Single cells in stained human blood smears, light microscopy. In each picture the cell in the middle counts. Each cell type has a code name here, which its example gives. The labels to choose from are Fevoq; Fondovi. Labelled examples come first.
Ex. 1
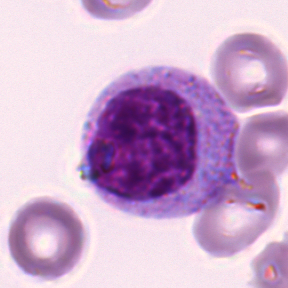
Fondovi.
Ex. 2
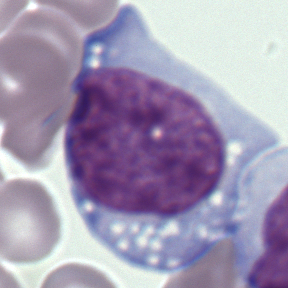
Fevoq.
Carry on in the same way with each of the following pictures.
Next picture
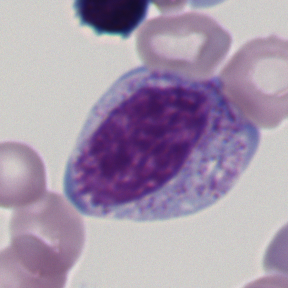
Fondovi.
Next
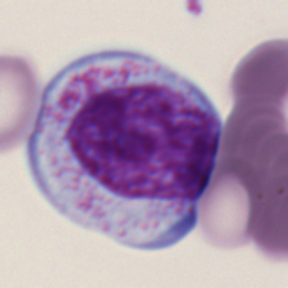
Fondovi.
